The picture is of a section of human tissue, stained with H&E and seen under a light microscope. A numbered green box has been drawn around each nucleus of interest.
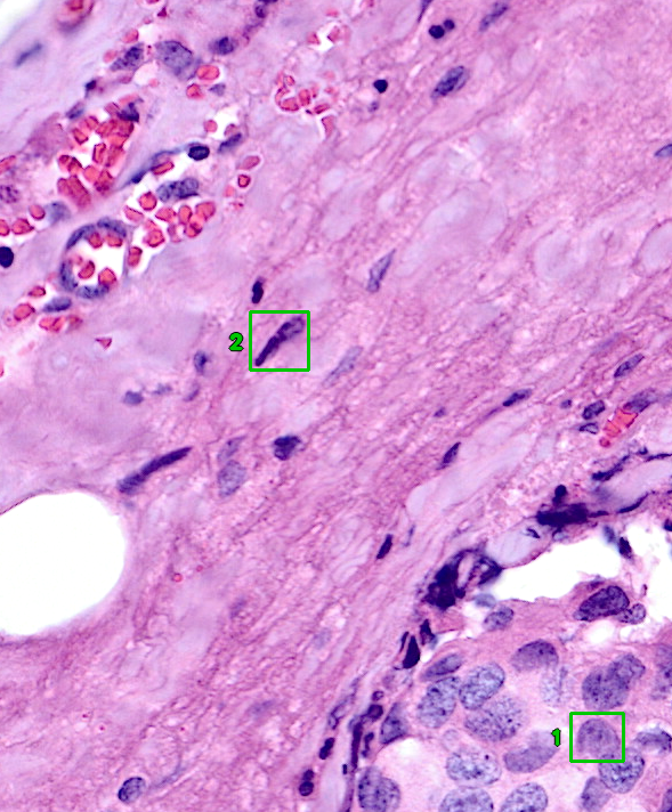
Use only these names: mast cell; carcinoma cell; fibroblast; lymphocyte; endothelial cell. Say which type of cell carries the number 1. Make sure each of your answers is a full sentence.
The cell indicated by marker 1 is a carcinoma cell in this section.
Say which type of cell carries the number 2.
The cell that bears the number 2 is a fibroblast.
